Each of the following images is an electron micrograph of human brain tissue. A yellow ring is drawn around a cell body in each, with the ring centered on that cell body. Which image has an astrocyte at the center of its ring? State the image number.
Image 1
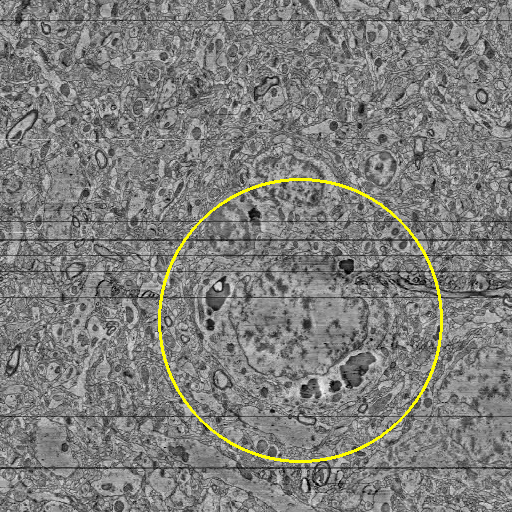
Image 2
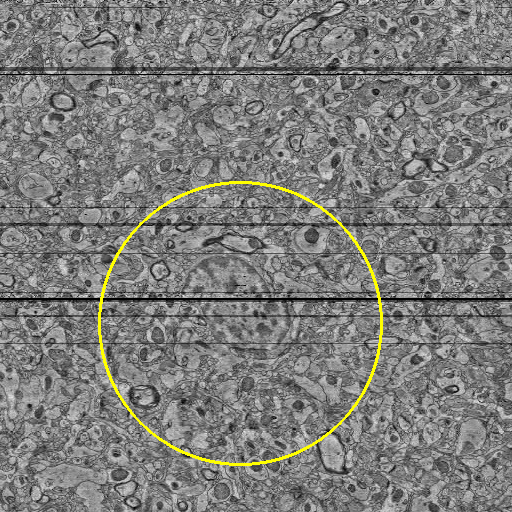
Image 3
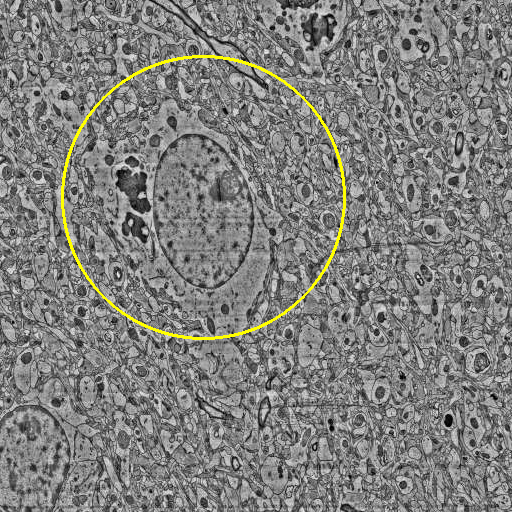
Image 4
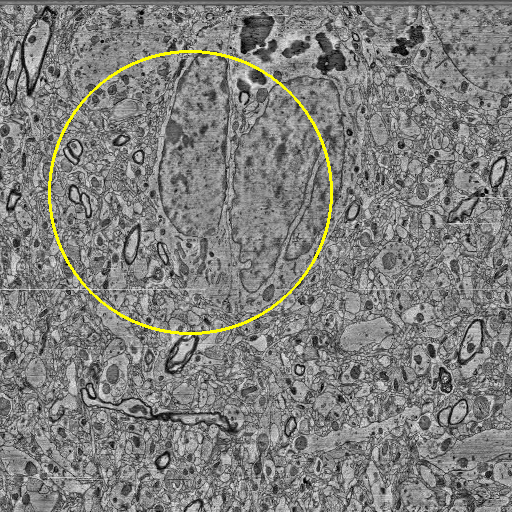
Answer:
3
